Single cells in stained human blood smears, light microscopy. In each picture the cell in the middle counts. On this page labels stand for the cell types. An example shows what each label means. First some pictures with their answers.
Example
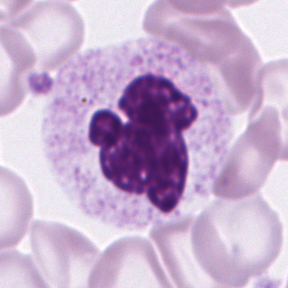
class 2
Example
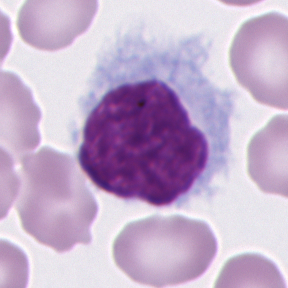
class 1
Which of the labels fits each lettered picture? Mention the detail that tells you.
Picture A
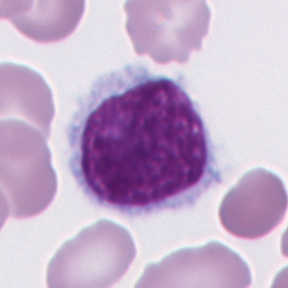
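class 1. Evidence: A narrow rim of pale blue cytoplasm surrounds the nucleus.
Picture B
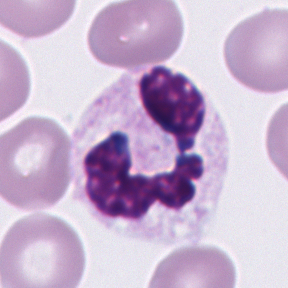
class 2. Evidence: The cytoplasm is abundant and pale pinkish-lilac.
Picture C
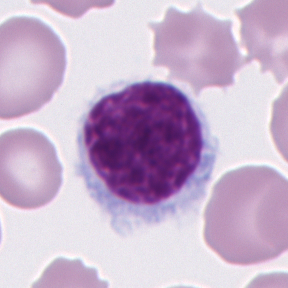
class 1. Evidence: The cytoplasm forms a narrow rim that is widest below the nucleus.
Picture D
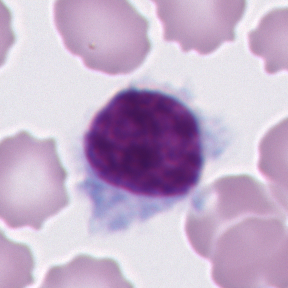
class 1. Evidence: The nucleus fills most of the cell.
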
